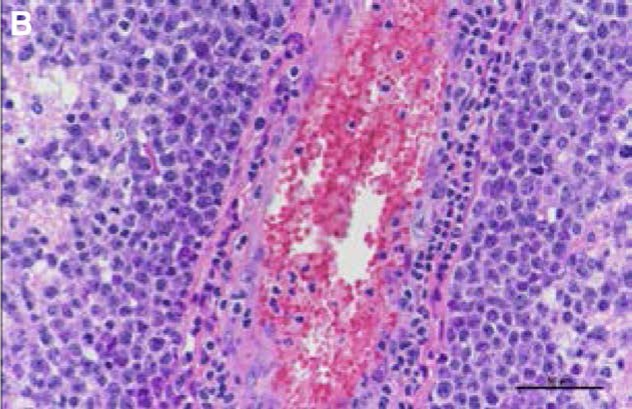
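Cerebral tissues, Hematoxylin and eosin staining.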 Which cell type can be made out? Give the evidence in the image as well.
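Dense sheets of discohesive round cells fill the field. The cells have large round to irregular purple nuclei with scant cytoplasm. Nuclei vary in size and shape. The answer: large atypical lymphoid cells.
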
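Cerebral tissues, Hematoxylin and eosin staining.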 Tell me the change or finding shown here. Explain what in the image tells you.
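Perivascular and diffuse infiltration. A blood vessel filled with red blood cells runs through the middle. Rows of tumour cells cuff the vessel wall. The same cells spread in sheets across the rest of the field.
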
